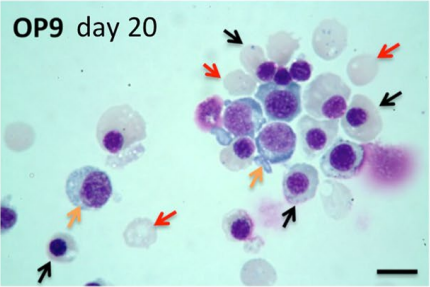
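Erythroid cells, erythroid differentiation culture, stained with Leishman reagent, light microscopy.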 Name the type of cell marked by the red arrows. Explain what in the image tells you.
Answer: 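Reticulocytes. The marked cells have no nucleus. They are pale grey-pink discs.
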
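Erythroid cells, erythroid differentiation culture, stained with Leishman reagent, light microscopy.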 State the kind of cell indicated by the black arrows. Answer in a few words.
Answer: Orthochromatic erythroblast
